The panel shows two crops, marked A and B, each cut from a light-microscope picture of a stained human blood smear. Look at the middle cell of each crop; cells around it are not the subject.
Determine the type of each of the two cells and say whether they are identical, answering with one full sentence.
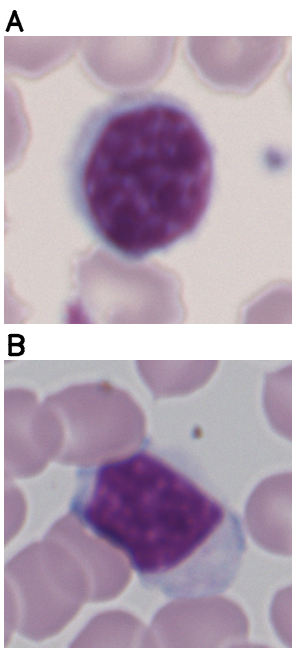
Yes, in both crops, typical lymphocytes are the cells at the middle.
